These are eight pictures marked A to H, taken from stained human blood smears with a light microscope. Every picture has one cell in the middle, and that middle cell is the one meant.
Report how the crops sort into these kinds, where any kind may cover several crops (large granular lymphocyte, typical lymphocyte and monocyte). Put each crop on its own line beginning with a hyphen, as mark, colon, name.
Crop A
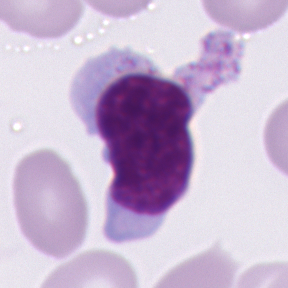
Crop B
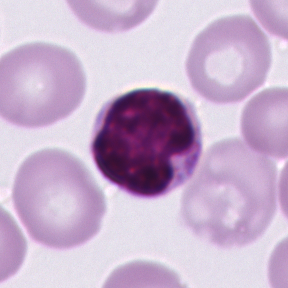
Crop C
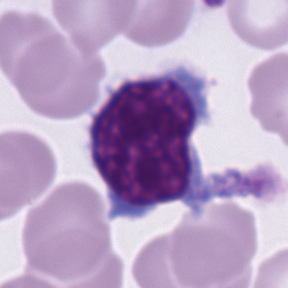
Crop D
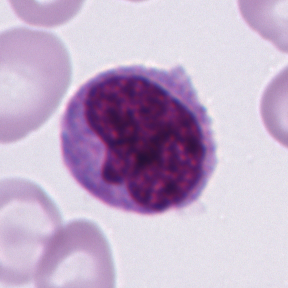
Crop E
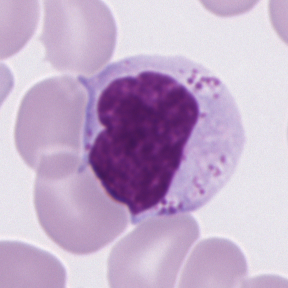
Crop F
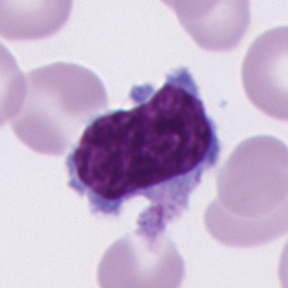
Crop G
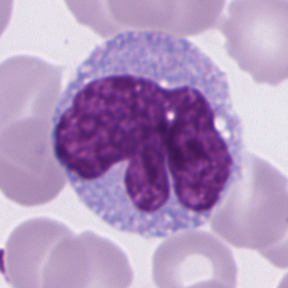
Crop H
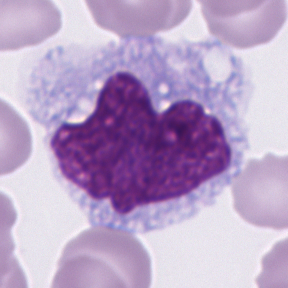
- A: large granular lymphocyte
- B: large granular lymphocyte
- C: typical lymphocyte
- D: monocyte
- E: large granular lymphocyte
- F: typical lymphocyte
- G: monocyte
- H: monocyte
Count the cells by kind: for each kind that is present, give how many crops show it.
large granular lymphocyte: 3
monocyte: 3
typical lymphocyte: 2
